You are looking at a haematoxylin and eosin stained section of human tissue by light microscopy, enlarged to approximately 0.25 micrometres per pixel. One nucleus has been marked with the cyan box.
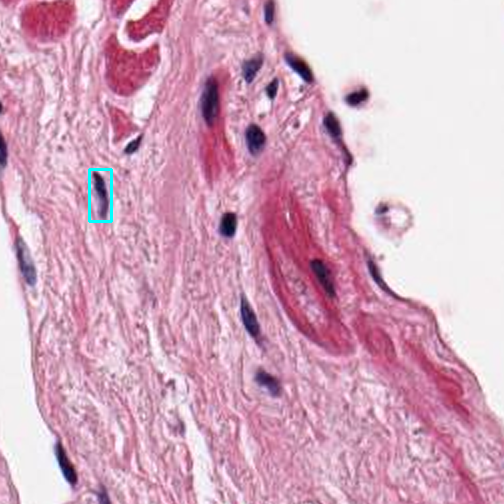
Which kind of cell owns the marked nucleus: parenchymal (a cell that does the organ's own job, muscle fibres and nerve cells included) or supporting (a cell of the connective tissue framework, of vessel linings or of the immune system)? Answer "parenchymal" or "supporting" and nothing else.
supporting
